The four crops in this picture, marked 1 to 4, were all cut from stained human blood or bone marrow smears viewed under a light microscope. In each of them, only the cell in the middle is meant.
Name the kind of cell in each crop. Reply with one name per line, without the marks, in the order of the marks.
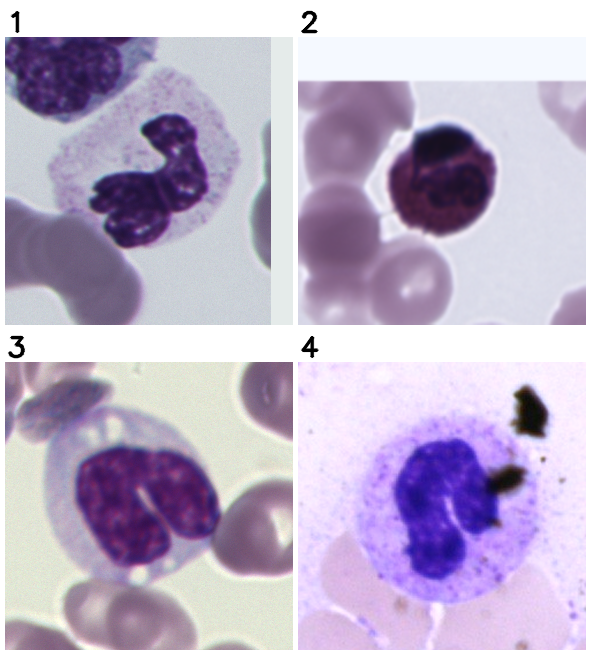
segmented neutrophil
eosinophil
band neutrophil
band neutrophil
